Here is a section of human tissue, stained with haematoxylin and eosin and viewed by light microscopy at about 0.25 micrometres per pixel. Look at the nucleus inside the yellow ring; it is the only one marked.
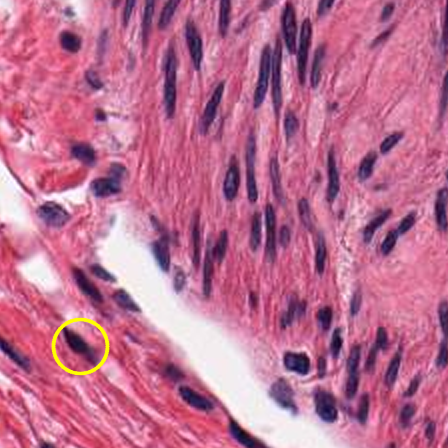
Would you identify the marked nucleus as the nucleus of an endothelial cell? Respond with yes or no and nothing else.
no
